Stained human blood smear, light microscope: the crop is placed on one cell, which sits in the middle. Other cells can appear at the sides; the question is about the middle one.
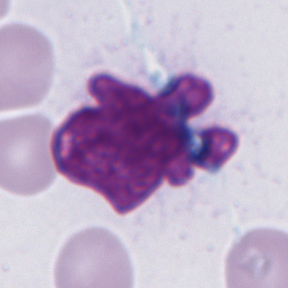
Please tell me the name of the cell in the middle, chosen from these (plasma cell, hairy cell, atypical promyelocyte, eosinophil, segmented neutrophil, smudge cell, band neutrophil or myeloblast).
smudge cell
